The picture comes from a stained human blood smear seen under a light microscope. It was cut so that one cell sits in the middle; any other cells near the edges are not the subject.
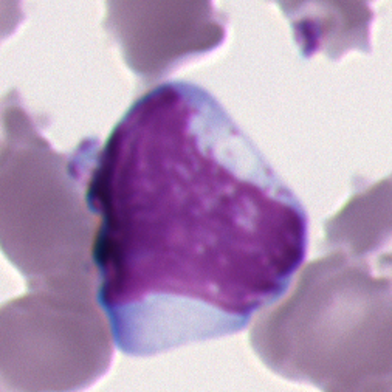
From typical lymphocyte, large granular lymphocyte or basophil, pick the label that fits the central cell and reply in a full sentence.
The cell the crop is centered on is a large granular lymphocyte.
